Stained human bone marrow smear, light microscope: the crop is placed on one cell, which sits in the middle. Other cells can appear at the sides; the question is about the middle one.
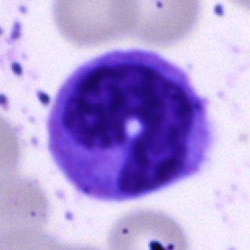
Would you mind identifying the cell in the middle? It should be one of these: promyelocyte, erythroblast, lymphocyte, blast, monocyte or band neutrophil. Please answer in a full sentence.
In the central position of this crop, the cell is a monocyte.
